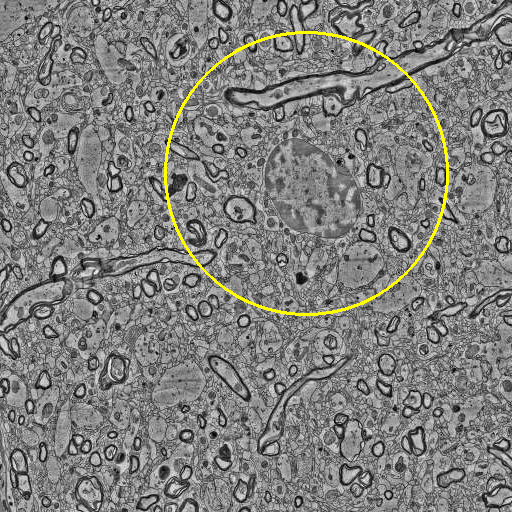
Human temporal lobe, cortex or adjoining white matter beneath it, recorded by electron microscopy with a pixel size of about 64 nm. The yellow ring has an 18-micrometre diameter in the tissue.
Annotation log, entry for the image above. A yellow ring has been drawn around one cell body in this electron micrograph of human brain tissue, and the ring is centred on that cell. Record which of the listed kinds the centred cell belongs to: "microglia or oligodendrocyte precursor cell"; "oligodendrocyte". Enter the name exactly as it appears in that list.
microglia or oligodendrocyte precursor cell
